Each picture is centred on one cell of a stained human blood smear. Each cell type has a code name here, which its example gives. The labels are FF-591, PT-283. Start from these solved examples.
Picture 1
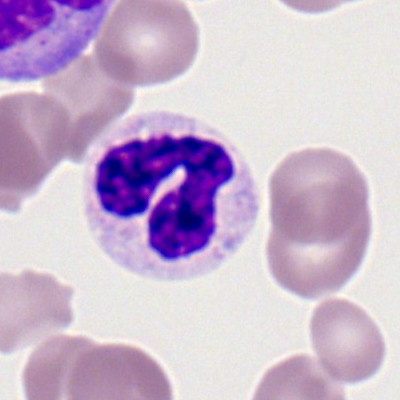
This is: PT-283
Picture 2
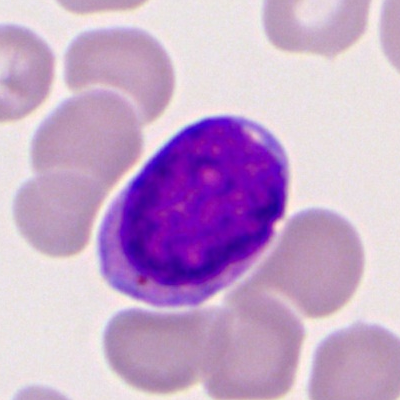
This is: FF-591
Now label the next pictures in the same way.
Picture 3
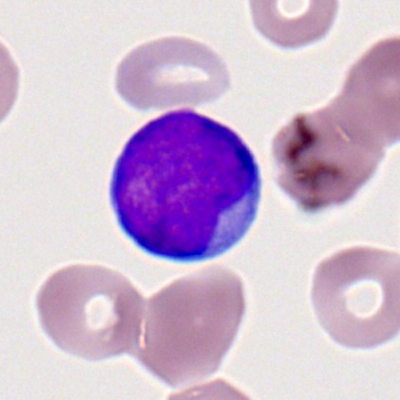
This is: FF-591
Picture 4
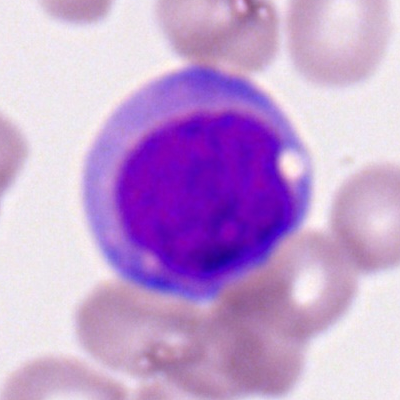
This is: FF-591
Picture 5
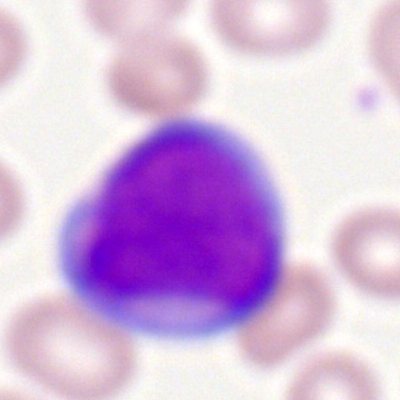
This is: FF-591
